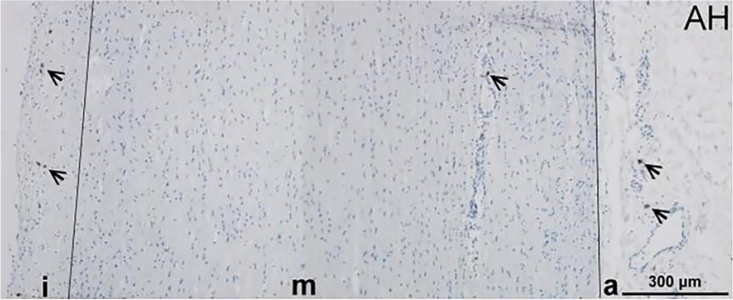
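The broad middle layer consists of many evenly spaced small blue nuclei of elongated cells in a pale matrix, crossed near its outer edge by a thin chain of cells around a small channel. Single brown cells lie in the thin inner layer on the left and in the loose outer layer on the right, where they sit close to small vessel profiles. The middle layer itself shows few or no such brown cells.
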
